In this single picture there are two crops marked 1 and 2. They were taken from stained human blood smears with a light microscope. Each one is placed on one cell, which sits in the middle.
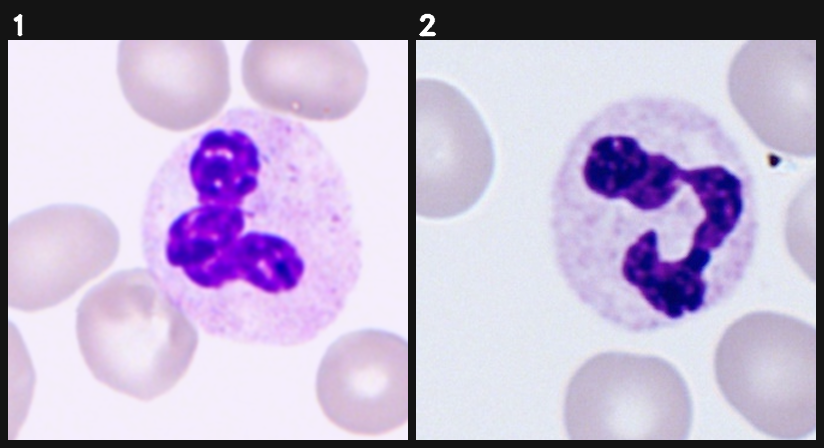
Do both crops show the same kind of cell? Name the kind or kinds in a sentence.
Yes, put down segmented neutrophils for both crops.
